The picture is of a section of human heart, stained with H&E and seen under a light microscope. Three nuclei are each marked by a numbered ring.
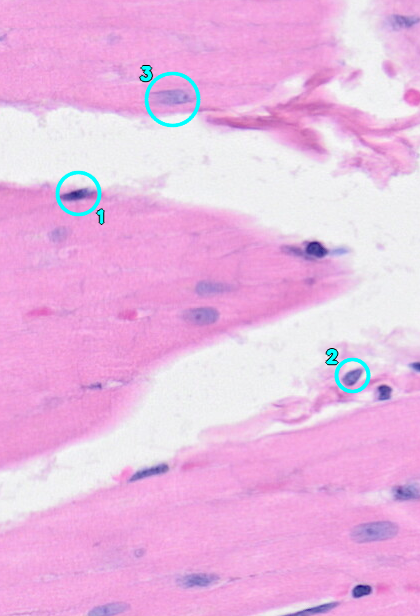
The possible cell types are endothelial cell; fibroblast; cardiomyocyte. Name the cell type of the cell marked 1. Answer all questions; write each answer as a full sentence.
The label 1 in this section denotes an endothelial cell.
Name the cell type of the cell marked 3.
The cell to which the number 3 is assigned is a cardiomyocyte.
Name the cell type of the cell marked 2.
Heads up, the cell numbered 2 is a fibroblast.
